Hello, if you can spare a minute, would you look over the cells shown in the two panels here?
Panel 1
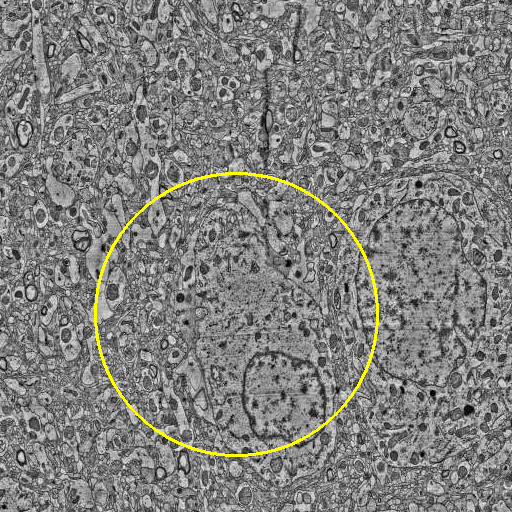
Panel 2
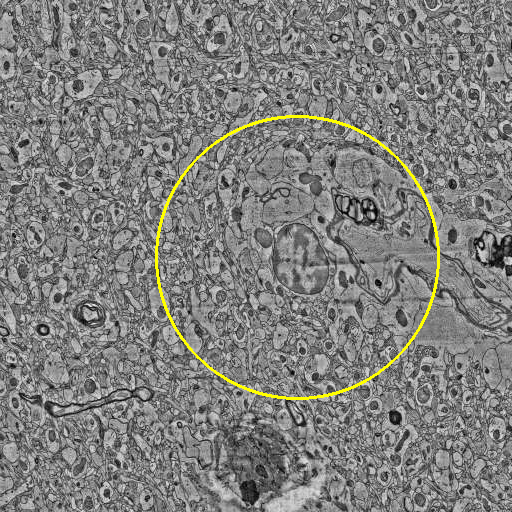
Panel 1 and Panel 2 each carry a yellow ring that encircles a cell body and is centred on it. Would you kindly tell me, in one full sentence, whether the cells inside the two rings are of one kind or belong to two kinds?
The cells at the centres of the rings in Panel 1 and Panel 2 belong to two kinds.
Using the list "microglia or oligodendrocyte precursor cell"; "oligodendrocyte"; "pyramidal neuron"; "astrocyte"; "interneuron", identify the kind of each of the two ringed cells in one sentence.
The first is an oligodendrocyte and the second is a microglial cell or oligodendrocyte precursor cell.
